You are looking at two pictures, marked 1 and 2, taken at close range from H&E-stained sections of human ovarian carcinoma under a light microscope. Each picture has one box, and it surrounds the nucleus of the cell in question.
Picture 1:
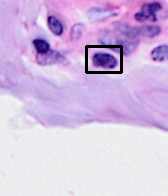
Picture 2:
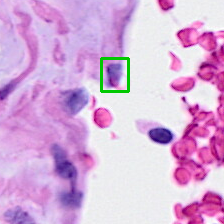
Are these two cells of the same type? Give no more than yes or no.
no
